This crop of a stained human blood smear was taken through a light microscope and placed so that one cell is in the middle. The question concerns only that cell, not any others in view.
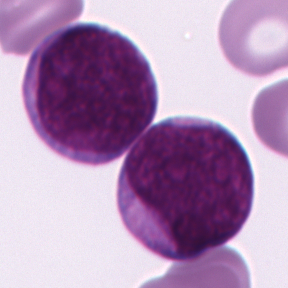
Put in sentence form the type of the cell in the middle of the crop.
The cell of interest, located centrally, is a blast.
